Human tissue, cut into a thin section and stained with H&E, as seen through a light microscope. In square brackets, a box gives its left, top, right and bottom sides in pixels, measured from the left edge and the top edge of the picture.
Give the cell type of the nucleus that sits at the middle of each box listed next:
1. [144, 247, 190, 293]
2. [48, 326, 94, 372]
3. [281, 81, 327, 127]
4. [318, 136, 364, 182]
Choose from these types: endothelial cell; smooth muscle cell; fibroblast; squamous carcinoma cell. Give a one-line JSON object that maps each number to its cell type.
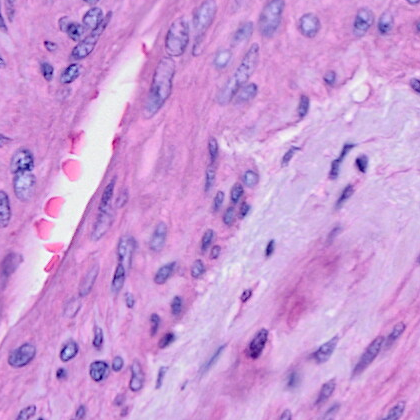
{"1": "smooth muscle cell", "2": "smooth muscle cell", "3": "smooth muscle cell", "4": "fibroblast"}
